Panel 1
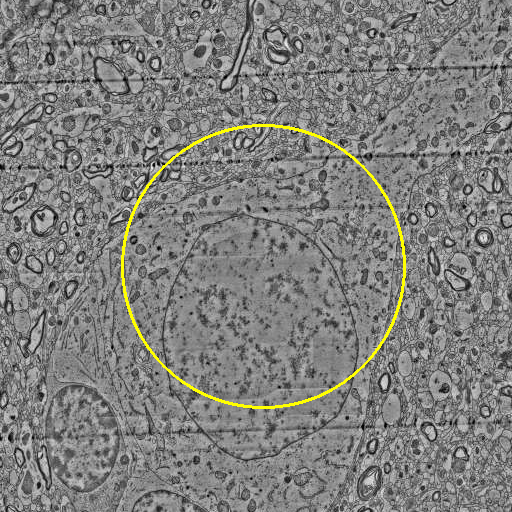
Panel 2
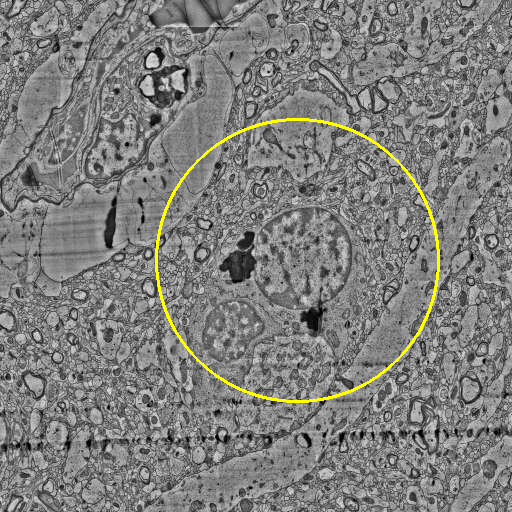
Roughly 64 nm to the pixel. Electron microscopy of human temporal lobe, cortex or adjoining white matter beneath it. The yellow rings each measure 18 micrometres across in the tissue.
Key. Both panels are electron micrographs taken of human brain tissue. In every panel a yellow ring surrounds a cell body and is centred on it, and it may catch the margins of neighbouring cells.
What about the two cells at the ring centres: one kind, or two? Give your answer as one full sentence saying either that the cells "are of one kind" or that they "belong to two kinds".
Across Panels 1 and 2, the two cells at the ring centres belong to two kinds.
